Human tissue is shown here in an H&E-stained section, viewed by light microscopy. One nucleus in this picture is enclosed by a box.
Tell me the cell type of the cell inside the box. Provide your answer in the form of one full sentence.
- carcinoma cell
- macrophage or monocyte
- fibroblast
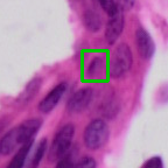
On this particular slide, the cell inside the box is a carcinoma cell.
